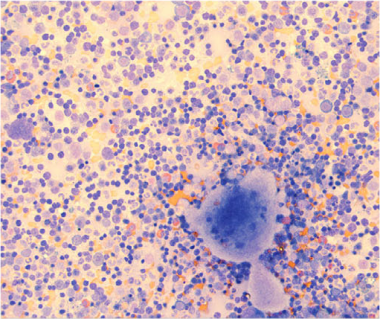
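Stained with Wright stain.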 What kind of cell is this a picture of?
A: Megakaryocyte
